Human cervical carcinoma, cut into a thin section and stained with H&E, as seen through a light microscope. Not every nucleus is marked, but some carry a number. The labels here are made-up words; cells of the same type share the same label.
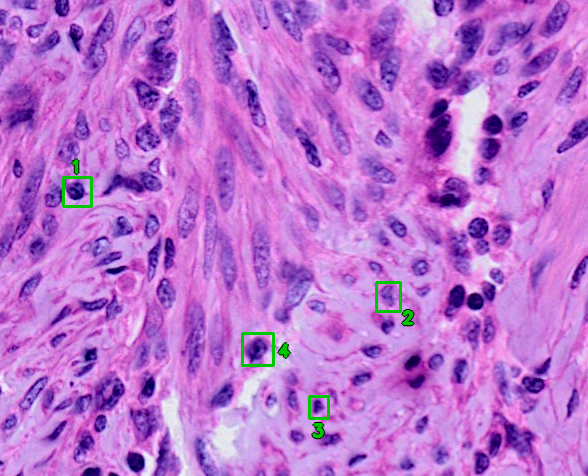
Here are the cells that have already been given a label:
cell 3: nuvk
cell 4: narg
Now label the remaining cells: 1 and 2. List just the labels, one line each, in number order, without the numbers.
narg
nuvk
